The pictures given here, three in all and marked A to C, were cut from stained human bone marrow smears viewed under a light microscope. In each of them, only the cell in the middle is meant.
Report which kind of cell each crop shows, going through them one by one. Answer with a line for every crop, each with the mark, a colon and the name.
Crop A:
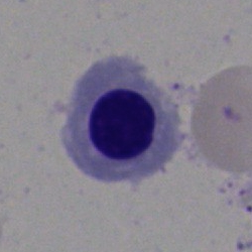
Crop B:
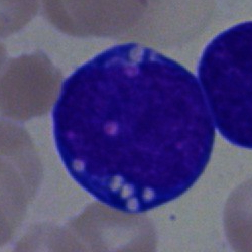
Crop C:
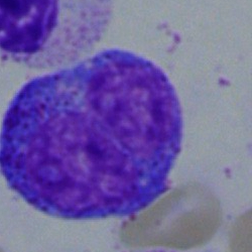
A: normoblast
B: blast
C: blast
